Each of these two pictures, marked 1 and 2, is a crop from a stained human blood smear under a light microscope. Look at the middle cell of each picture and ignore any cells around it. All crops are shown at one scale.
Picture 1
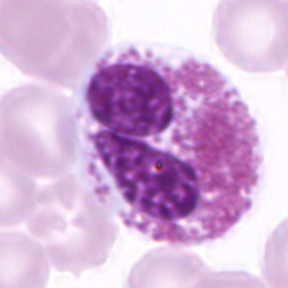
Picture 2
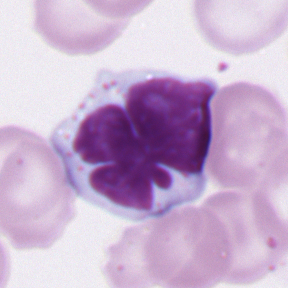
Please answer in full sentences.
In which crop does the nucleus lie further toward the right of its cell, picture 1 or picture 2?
Seen within its cell, the nucleus in picture 2 lies further toward the right.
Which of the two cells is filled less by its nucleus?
The nucleus fills less of the cell in picture 1 than in picture 2.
